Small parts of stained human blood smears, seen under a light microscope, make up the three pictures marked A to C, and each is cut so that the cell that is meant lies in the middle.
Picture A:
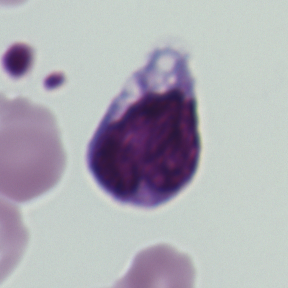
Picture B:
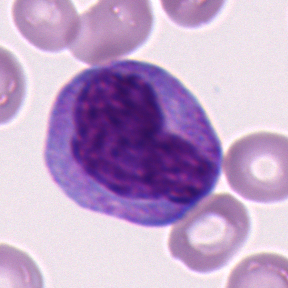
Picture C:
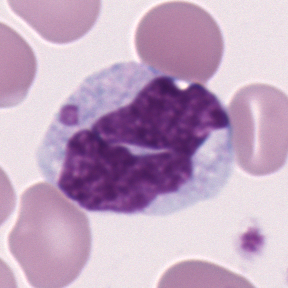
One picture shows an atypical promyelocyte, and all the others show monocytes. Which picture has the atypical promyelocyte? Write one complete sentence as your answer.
Picture B is the one that shows the atypical promyelocyte.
